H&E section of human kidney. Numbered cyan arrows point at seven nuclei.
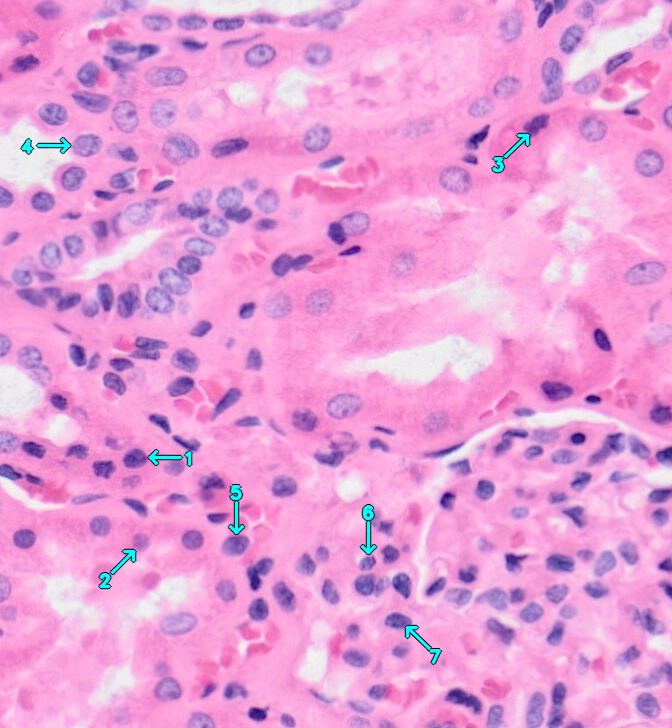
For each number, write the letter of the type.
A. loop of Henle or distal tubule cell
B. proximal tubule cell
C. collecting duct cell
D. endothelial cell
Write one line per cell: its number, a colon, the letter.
1: A
2: B
3: B
4: A
5: D
6: D
7: D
